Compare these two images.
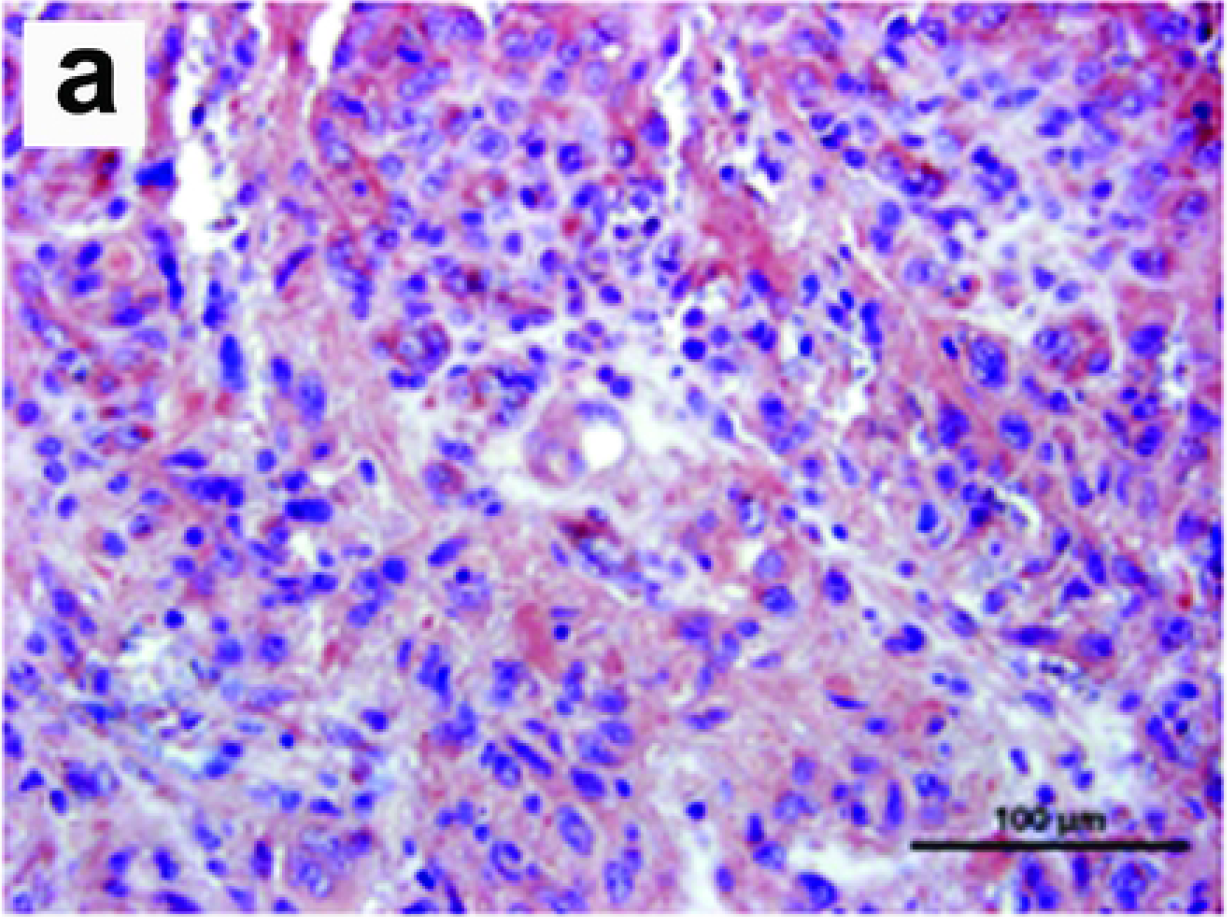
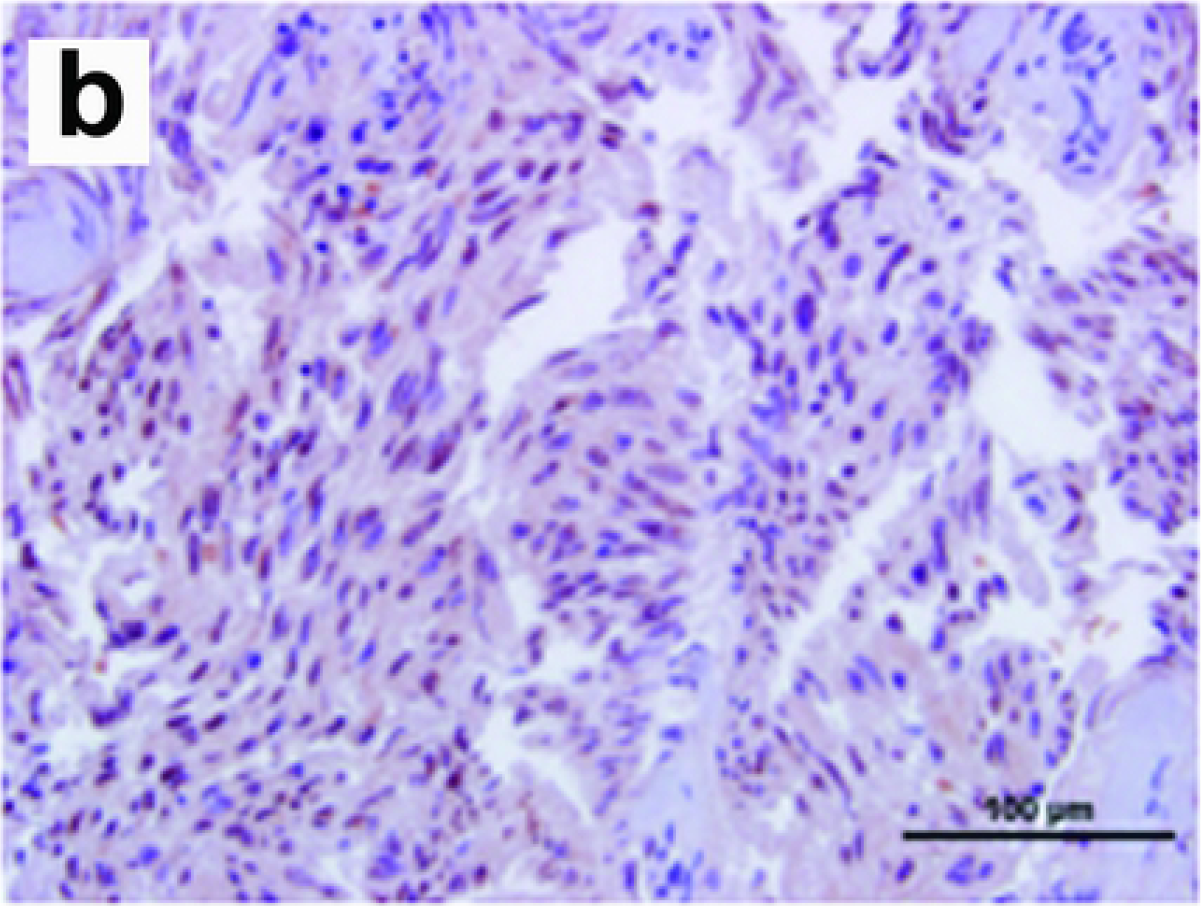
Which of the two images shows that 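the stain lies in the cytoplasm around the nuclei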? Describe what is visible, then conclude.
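First image: red-pink colour fills the cytoplasm in confluent sheets between blue nuclei. Second image: the cytoplasm is pale, and the colour sits mainly in the nuclei.
Hence: the first image.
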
